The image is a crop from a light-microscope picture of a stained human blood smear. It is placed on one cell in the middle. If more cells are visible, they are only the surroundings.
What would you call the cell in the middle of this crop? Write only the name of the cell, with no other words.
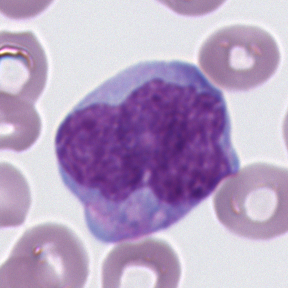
atypical promyelocyte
